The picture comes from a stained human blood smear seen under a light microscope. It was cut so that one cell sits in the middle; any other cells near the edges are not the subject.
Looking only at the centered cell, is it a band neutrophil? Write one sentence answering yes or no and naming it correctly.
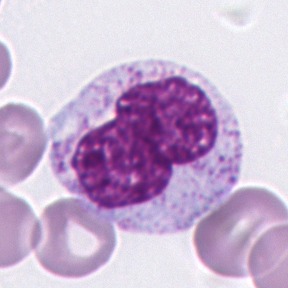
Yes, in the centre of this field sits a band neutrophil.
